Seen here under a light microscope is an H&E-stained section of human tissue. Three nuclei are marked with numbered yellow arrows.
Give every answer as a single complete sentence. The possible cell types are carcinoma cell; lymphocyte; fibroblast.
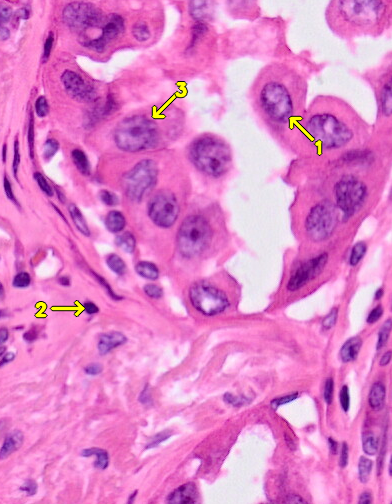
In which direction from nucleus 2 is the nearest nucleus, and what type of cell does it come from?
It is a fibroblast, whose nucleus lies above and to the right of nucleus 2.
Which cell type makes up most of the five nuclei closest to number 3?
Carcinoma cells make up most of the five nuclei closest to number 3.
